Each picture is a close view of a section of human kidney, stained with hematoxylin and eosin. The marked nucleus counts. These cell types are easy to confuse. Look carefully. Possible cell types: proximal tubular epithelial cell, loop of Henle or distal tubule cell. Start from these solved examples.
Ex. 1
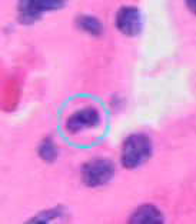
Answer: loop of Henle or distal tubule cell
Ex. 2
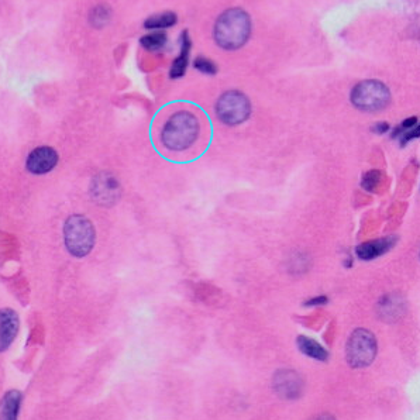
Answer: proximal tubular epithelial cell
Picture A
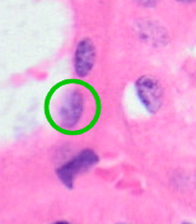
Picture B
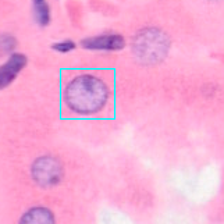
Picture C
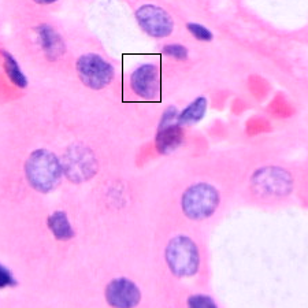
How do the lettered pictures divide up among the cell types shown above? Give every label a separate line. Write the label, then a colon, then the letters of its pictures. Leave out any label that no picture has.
proximal tubular epithelial cell: B
loop of Henle or distal tubule cell: A, C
